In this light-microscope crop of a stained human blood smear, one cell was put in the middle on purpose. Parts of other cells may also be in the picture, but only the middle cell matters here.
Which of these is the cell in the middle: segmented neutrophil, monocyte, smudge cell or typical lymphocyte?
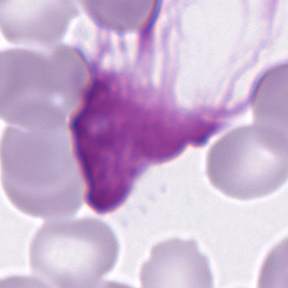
smudge cell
